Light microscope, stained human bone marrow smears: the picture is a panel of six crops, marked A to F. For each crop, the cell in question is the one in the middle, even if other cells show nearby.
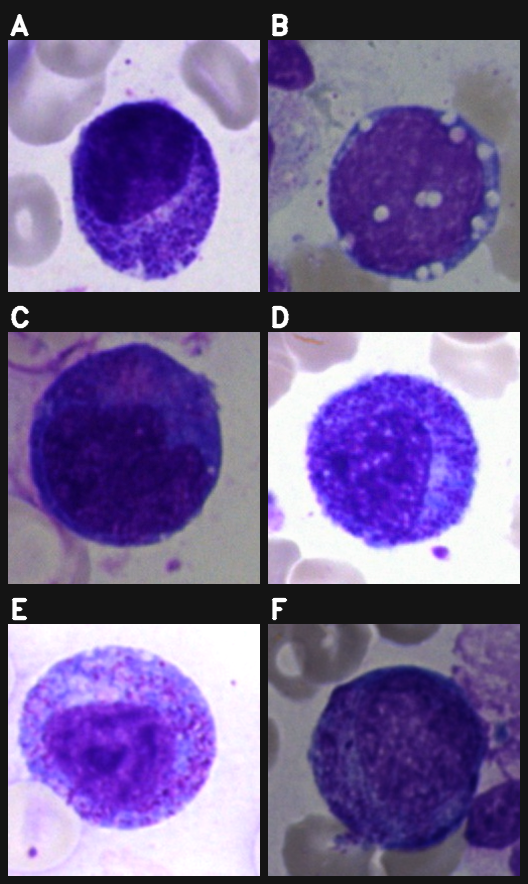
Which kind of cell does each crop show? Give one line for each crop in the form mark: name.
A: promyelocyte
B: blast
C: blast
D: promyelocyte
E: promyelocyte
F: promyelocyte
